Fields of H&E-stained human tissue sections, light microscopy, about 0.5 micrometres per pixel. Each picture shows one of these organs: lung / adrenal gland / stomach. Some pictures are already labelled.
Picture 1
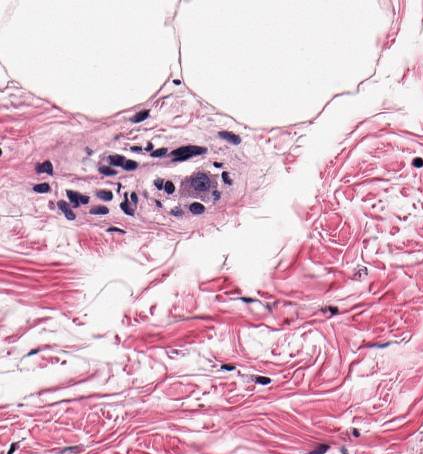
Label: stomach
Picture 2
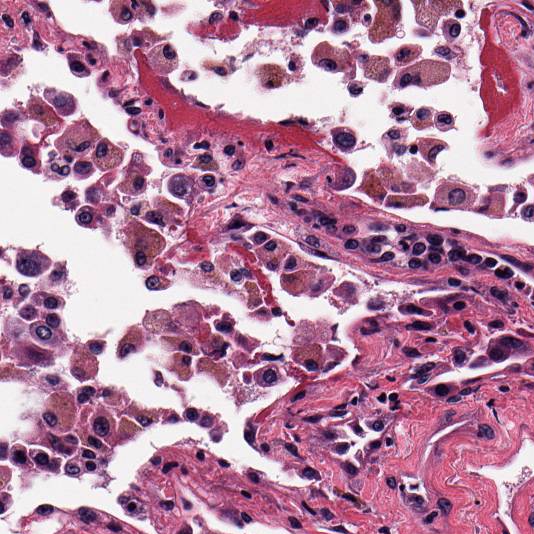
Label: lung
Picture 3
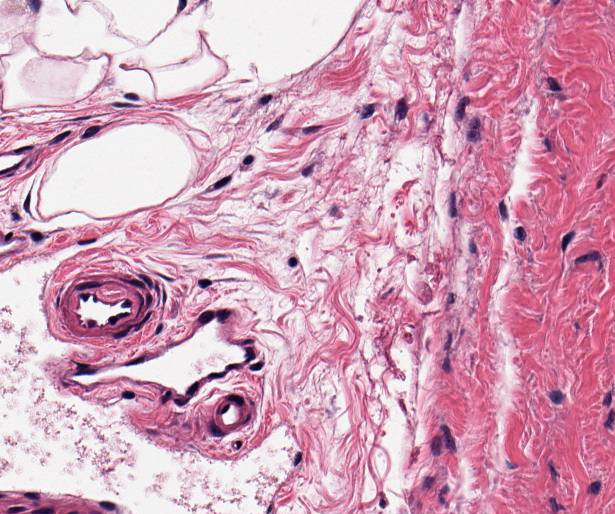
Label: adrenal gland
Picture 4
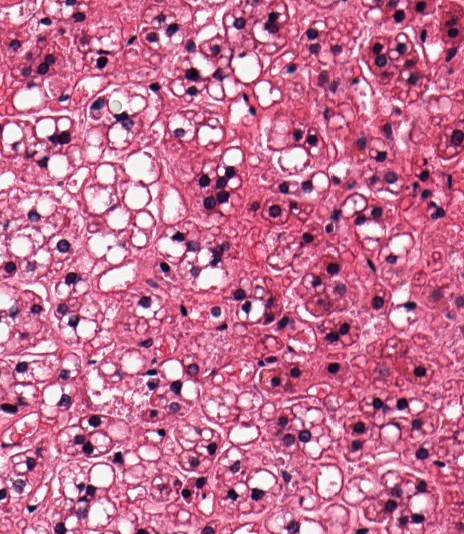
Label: adrenal gland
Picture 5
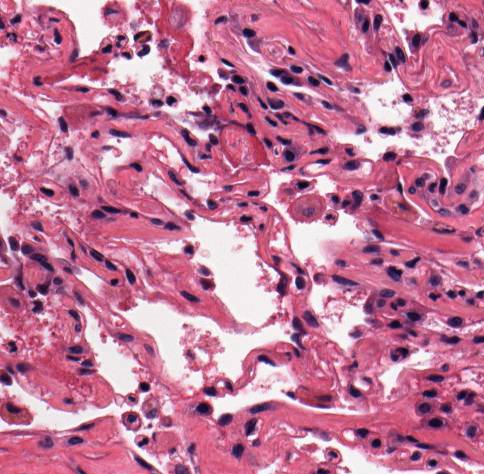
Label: lung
